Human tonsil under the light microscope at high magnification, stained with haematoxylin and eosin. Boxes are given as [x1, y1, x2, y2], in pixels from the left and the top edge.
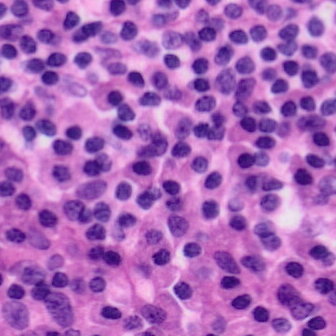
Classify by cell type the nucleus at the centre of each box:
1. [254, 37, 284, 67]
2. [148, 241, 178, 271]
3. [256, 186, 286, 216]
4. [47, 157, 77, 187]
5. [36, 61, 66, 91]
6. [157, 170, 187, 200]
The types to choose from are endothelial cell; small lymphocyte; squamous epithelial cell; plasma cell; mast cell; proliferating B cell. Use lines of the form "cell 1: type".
cell 1: small lymphocyte
cell 2: plasma cell
cell 3: plasma cell
cell 4: plasma cell
cell 5: small lymphocyte
cell 6: plasma cell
